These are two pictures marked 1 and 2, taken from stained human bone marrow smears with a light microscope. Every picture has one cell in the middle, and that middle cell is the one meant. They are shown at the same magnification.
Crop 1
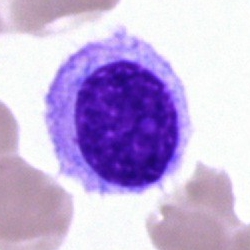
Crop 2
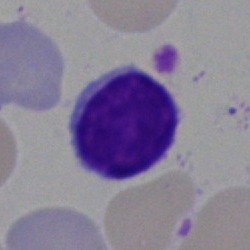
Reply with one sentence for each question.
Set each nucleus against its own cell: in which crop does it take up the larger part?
The nucleus fills more of the cell in crop 2 than in crop 1.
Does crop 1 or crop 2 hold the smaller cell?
It is the cell in crop 2; the cell in crop 1 has about 2 times its area.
